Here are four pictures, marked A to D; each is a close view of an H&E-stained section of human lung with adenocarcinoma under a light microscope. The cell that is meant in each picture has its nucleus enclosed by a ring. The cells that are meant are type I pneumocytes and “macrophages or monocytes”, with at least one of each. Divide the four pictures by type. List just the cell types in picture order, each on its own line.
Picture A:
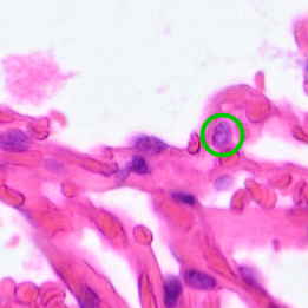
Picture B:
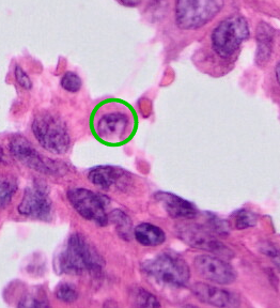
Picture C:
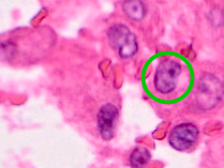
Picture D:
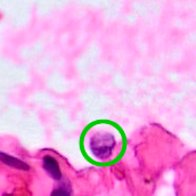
type I pneumocyte
macrophage or monocyte
macrophage or monocyte
type I pneumocyte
